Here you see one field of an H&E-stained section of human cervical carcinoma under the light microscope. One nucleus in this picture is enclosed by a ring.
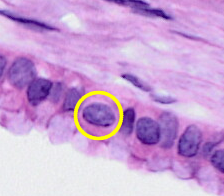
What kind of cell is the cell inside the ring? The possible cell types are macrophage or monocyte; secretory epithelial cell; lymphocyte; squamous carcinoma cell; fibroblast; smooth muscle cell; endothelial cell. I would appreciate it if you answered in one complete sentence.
It is a secretory epithelial cell that the cell inside the ring represents.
